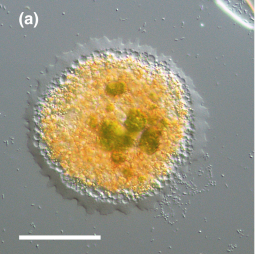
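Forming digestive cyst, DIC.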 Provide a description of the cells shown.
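Several greenish, yellow-green inclusions of ingested food lie grouped near the centre. The periphery is bordered by a broad, clear, hyaline fringe with a scalloped, wavy outer edge, free of granules, giving the cell a frilled outline. The background is grey and smooth with scattered small particles.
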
